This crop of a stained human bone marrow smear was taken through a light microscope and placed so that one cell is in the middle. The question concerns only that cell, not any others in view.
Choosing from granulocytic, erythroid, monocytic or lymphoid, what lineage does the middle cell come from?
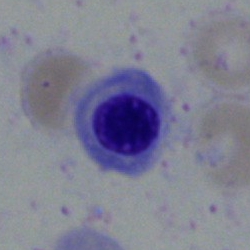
erythroid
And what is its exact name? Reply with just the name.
erythroblast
